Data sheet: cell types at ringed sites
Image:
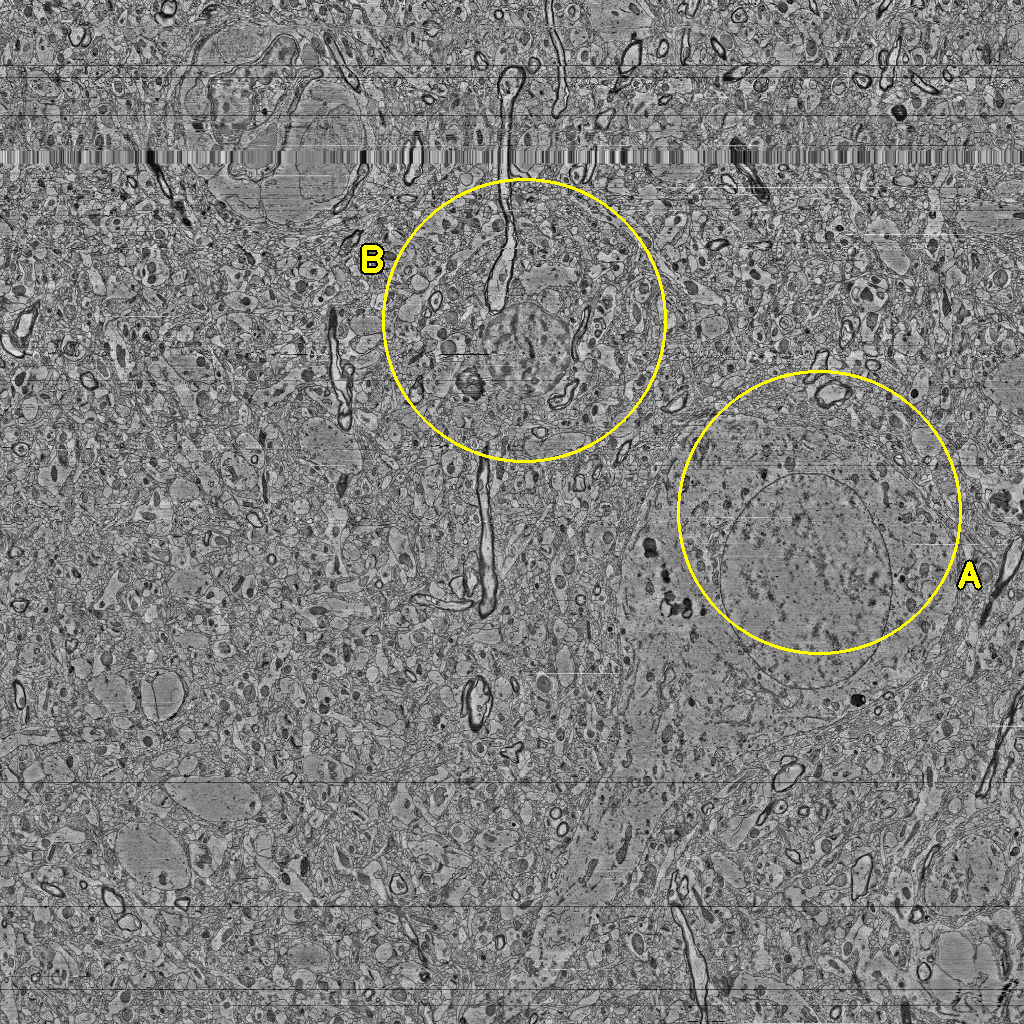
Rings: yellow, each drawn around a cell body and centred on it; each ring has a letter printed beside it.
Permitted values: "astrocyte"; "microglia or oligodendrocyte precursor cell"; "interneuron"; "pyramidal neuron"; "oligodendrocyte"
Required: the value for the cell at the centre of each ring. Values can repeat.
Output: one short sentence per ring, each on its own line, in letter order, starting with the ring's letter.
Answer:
Ring A has a pyramidal neuron at its centre.
Ring B has an oligodendrocyte at its centre.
